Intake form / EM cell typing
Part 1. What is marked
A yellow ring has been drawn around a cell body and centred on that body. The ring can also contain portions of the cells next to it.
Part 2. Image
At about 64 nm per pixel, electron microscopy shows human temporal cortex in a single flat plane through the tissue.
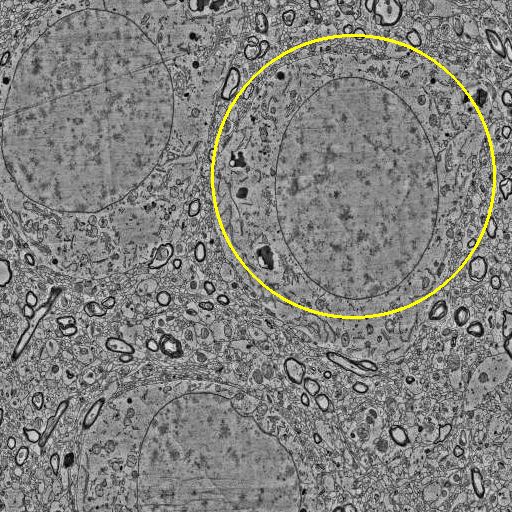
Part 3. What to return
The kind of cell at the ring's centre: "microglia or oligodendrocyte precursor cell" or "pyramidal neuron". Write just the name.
pyramidal neuron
